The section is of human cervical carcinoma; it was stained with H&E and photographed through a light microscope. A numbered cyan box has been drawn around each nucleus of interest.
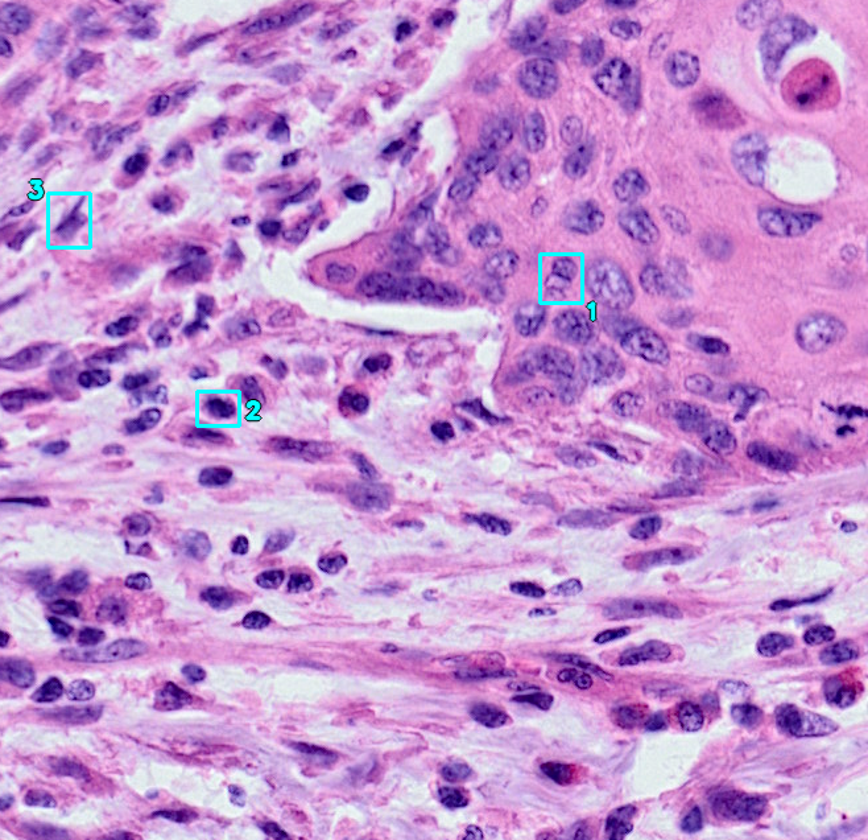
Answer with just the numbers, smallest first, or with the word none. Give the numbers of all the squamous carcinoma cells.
1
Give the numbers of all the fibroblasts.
3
